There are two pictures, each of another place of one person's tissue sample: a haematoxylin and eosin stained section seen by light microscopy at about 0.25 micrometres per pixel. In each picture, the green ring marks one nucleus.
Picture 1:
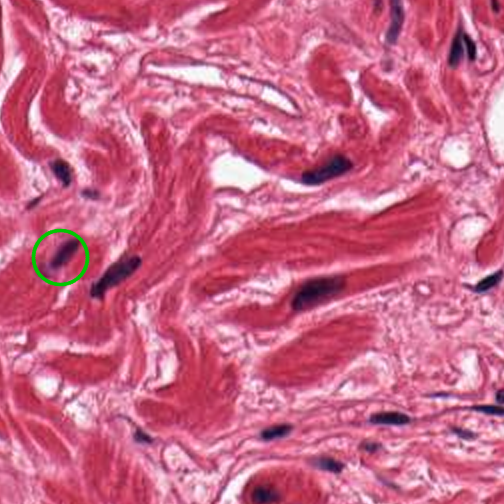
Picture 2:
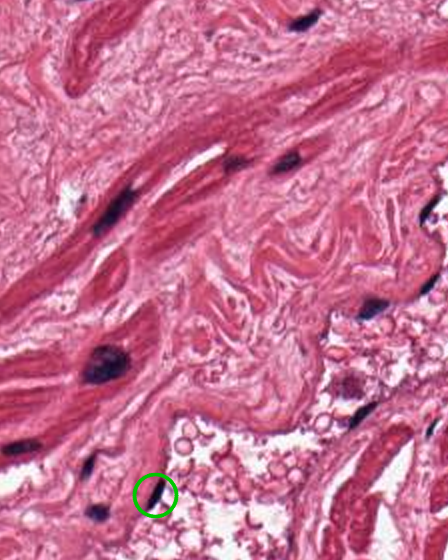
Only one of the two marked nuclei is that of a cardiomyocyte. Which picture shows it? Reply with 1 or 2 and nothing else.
1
